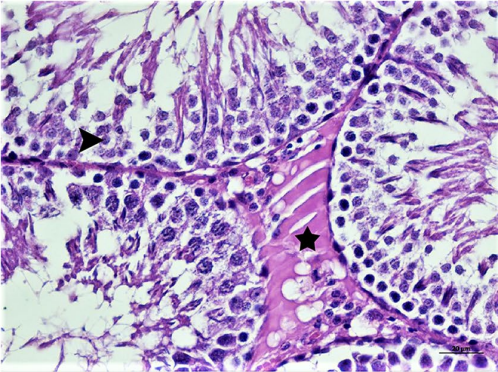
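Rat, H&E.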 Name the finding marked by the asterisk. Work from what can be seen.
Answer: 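A wide wedge of pink homogeneous material separates the tubules. The pink material contains clear spaces and vacuoles.
Edema.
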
